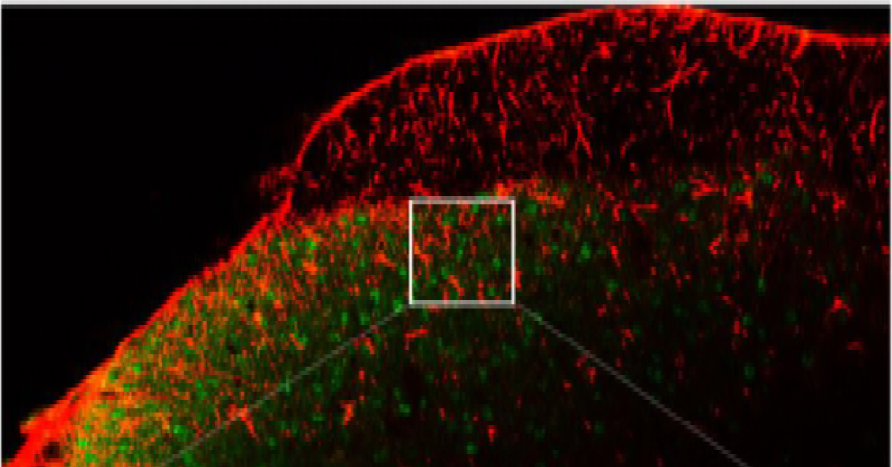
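Dorsal horn of the spinal cord with astrocytes in red, star-shaped cells with thin branching processes scattered through the gray matter and dense red fibres along the outer surface. Round green cell bodies lie between the red astrocytes, concentrated in the superficial layers, and do not coincide with the red cells.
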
